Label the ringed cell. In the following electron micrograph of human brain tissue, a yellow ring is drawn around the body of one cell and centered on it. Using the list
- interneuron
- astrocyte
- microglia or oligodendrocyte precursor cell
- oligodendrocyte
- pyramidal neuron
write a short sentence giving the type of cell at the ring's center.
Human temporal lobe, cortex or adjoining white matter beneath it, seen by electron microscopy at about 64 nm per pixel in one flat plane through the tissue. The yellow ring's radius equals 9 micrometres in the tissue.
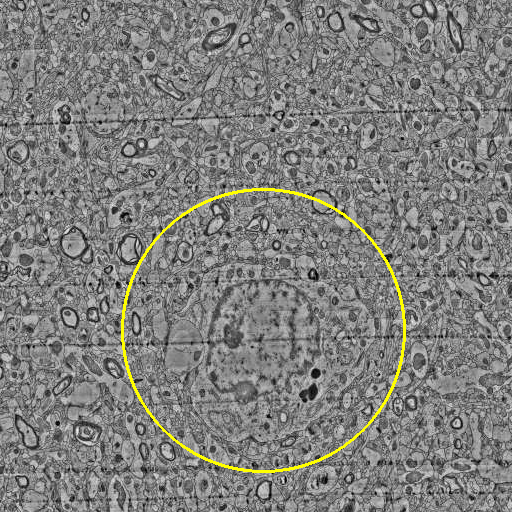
The cell body at the ring's center is that of an interneuron.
